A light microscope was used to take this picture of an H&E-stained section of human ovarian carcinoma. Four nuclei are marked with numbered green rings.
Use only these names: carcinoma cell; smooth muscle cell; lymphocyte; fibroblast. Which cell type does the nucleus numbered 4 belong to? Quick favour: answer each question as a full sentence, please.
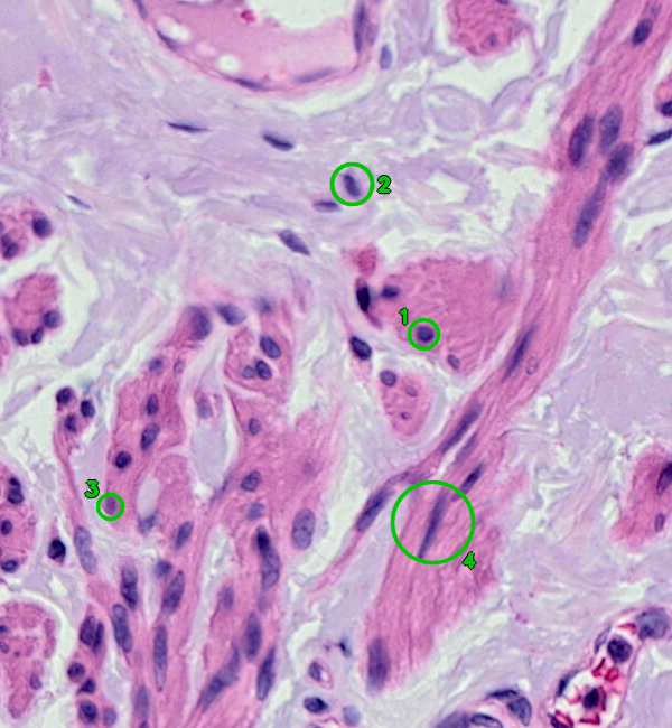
The cell numbered 4 represents a smooth muscle cell.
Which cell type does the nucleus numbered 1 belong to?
Number 1 among the marked cells is a smooth muscle cell.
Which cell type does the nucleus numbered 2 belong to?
The cell that carries the label 2 is a fibroblast.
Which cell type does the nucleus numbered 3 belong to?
The nucleus labelled 3 belongs to a smooth muscle cell.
